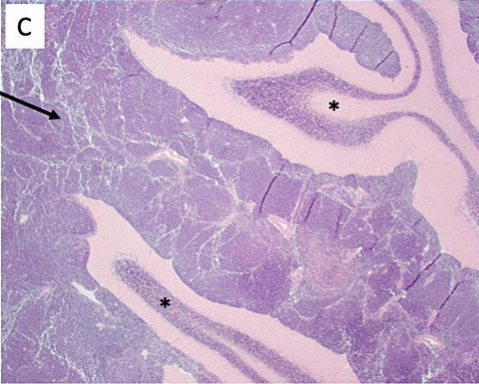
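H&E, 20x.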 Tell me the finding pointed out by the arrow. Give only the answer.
Small round blue cell tumor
